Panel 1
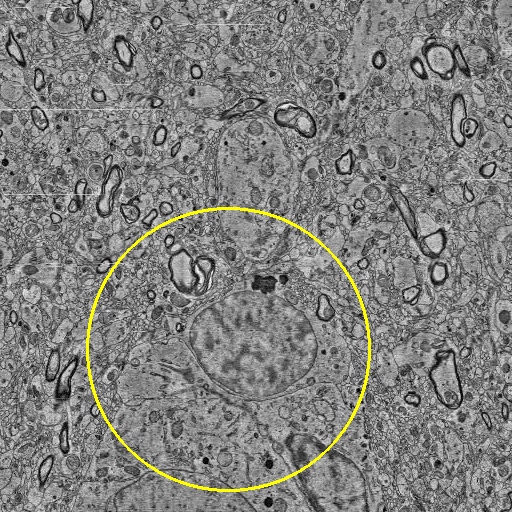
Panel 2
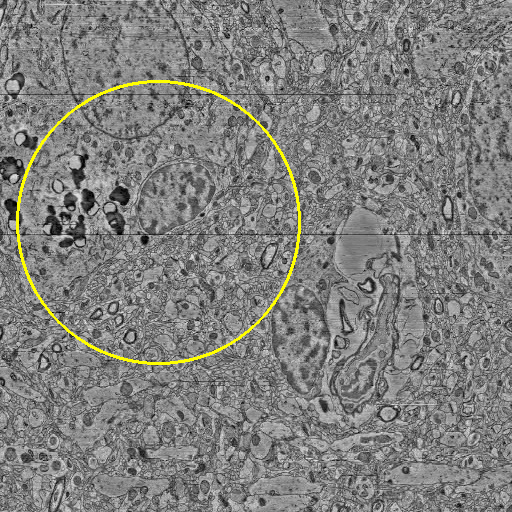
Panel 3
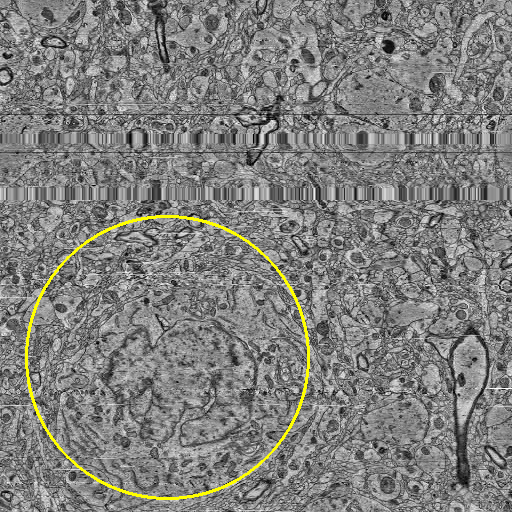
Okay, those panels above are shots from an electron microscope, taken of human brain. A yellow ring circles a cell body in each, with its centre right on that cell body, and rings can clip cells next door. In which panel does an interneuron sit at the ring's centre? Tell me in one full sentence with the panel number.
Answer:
The cell you asked for sits at the ring's centre in panel 3.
